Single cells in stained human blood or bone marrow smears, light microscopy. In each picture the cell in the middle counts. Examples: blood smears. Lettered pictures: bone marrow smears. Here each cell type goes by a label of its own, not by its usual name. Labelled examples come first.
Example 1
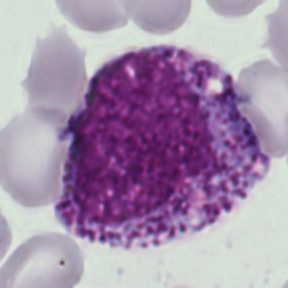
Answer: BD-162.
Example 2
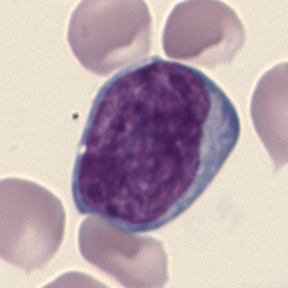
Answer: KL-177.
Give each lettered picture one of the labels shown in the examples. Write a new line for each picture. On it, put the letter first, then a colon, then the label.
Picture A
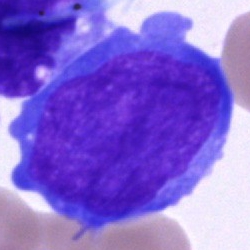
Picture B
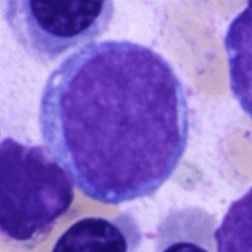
A: KL-177.
B: KL-177.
